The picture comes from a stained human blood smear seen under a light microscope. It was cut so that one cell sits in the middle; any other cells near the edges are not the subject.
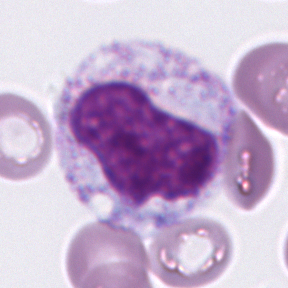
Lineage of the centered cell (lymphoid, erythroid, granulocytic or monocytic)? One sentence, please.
The central cell of this crop is identified as belonging to the granulocytic lineage.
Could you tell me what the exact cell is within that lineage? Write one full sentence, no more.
The cell in the middle of the field of view is a metamyelocyte.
